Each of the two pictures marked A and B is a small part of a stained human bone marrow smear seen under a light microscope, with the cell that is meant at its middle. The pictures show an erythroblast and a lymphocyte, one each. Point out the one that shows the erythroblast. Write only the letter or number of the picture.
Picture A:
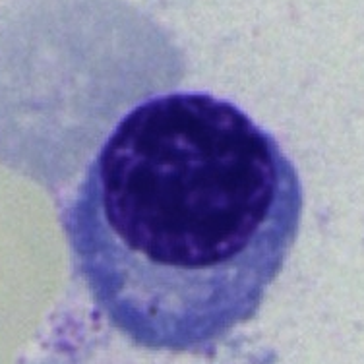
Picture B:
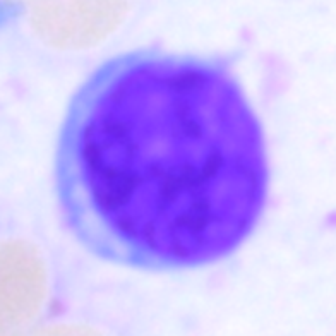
A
